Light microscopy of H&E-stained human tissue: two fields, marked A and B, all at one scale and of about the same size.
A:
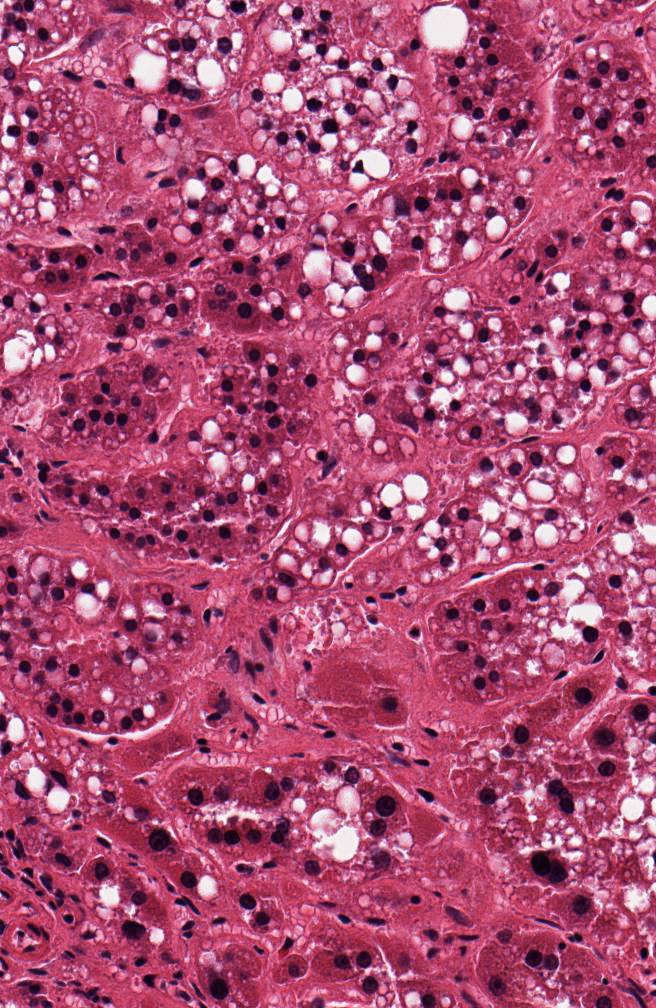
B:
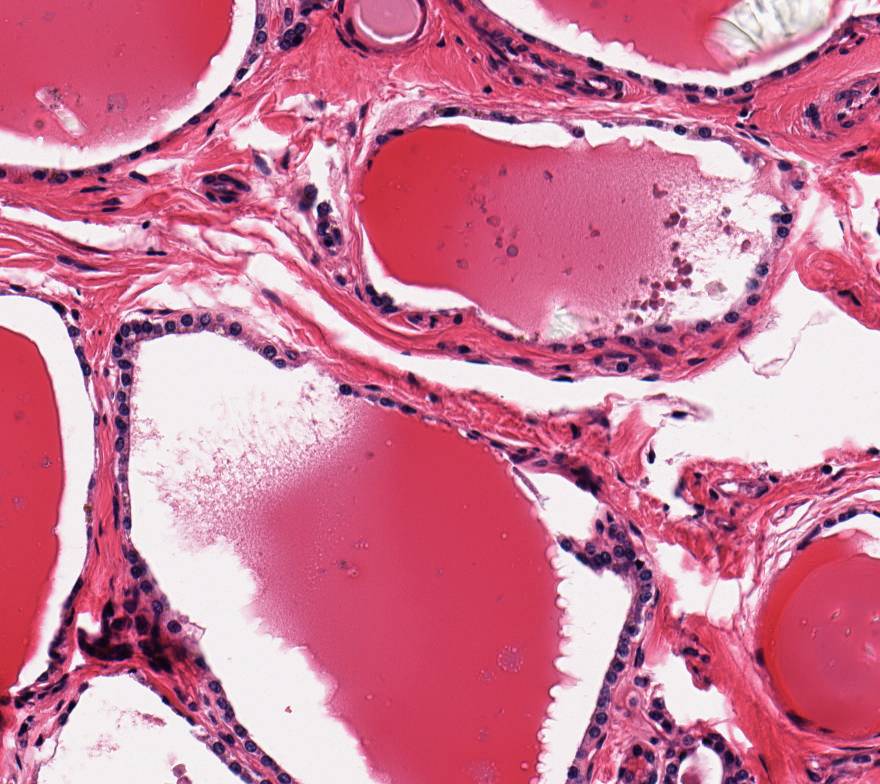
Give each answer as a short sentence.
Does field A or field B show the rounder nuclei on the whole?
The nuclei are rounder in field A.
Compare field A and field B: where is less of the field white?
Less of field A is empty and white.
